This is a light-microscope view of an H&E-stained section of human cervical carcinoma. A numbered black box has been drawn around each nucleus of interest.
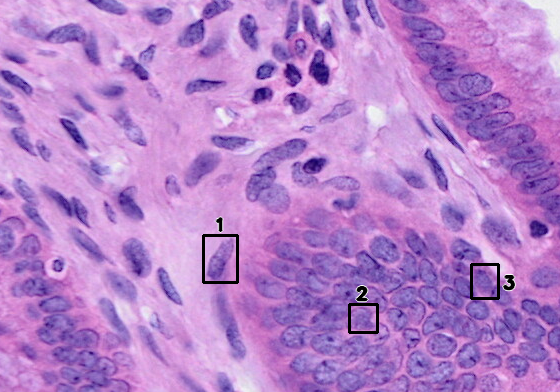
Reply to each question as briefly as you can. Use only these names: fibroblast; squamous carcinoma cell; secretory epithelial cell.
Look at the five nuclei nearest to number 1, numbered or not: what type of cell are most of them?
secretory epithelial cell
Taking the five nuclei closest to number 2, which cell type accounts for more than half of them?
secretory epithelial cell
